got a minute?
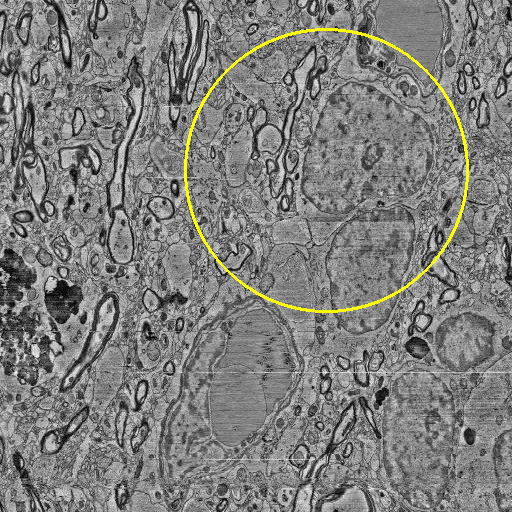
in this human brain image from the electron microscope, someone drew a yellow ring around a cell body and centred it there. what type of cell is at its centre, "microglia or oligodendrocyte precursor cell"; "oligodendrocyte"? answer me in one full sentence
It's a microglial cell or oligodendrocyte precursor cell at the middle of that yellow ring in the shot.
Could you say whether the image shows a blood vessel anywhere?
Yes, there is a blood vessel in the image.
